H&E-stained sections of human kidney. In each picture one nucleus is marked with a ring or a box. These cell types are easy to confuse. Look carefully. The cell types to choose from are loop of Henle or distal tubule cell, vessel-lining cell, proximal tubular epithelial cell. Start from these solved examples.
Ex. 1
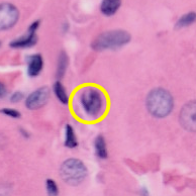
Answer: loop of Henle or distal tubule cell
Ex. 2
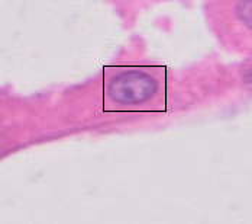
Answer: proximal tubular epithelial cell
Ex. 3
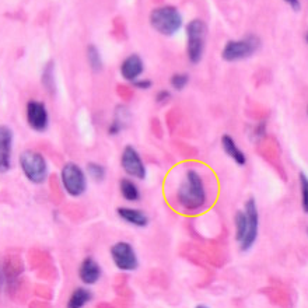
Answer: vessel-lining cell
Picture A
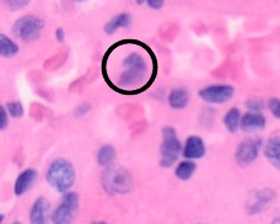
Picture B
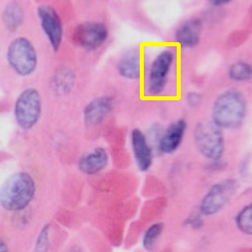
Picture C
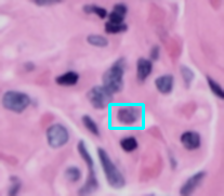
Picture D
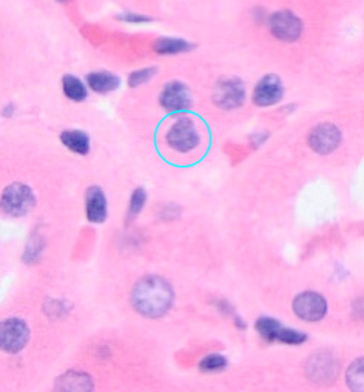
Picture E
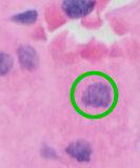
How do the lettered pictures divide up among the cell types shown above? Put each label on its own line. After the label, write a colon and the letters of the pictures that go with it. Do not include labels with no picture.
loop of Henle or distal tubule cell: B, D
vessel-lining cell: A, C
proximal tubular epithelial cell: E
